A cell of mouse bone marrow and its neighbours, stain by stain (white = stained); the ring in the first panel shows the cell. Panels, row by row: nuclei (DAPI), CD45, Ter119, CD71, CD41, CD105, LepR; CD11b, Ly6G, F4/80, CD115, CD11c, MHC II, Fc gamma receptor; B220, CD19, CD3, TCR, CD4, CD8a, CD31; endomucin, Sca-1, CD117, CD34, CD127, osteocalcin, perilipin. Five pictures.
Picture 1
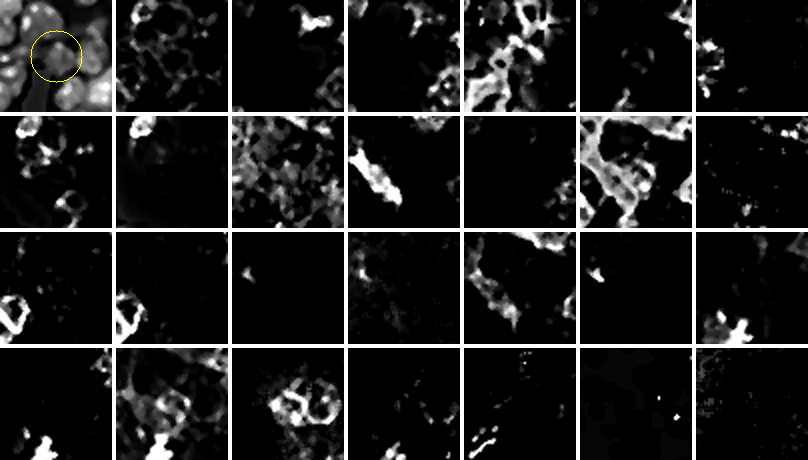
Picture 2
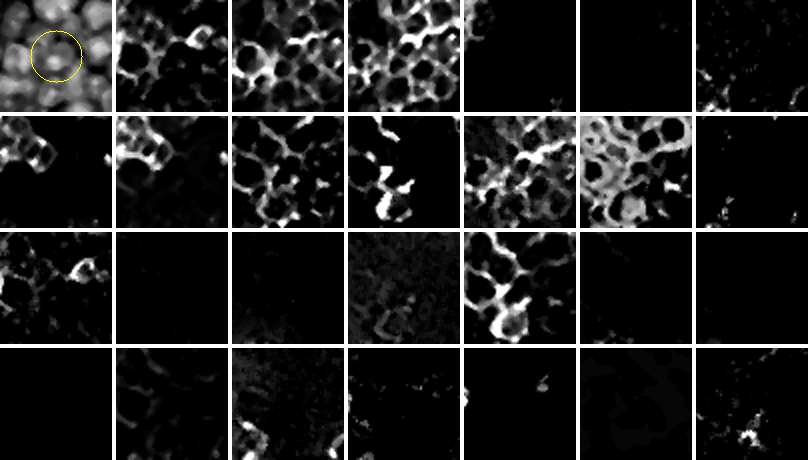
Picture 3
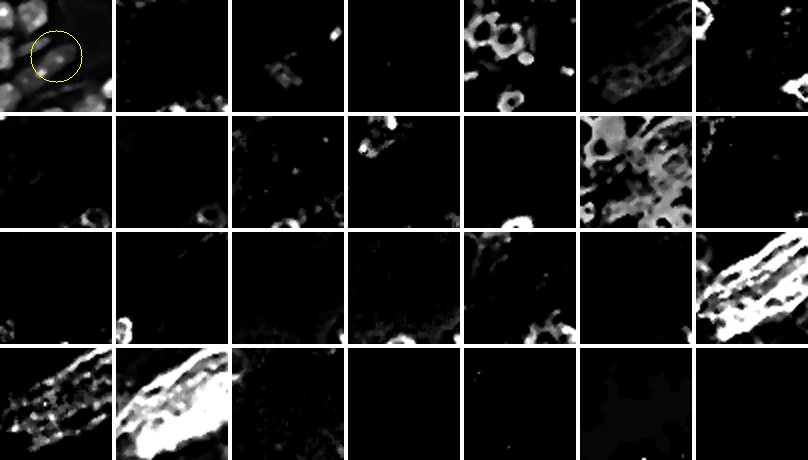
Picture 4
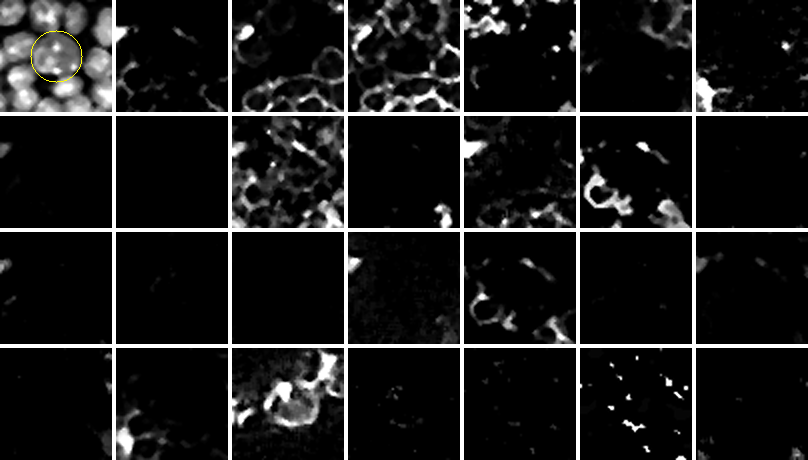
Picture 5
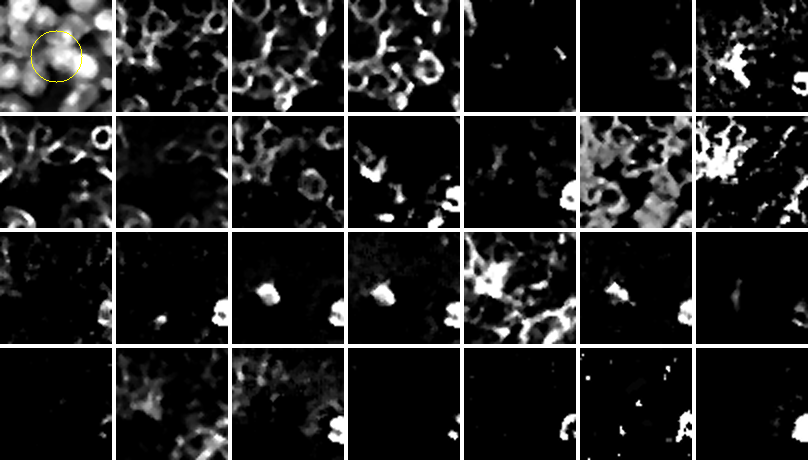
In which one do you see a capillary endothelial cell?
In picture 3.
